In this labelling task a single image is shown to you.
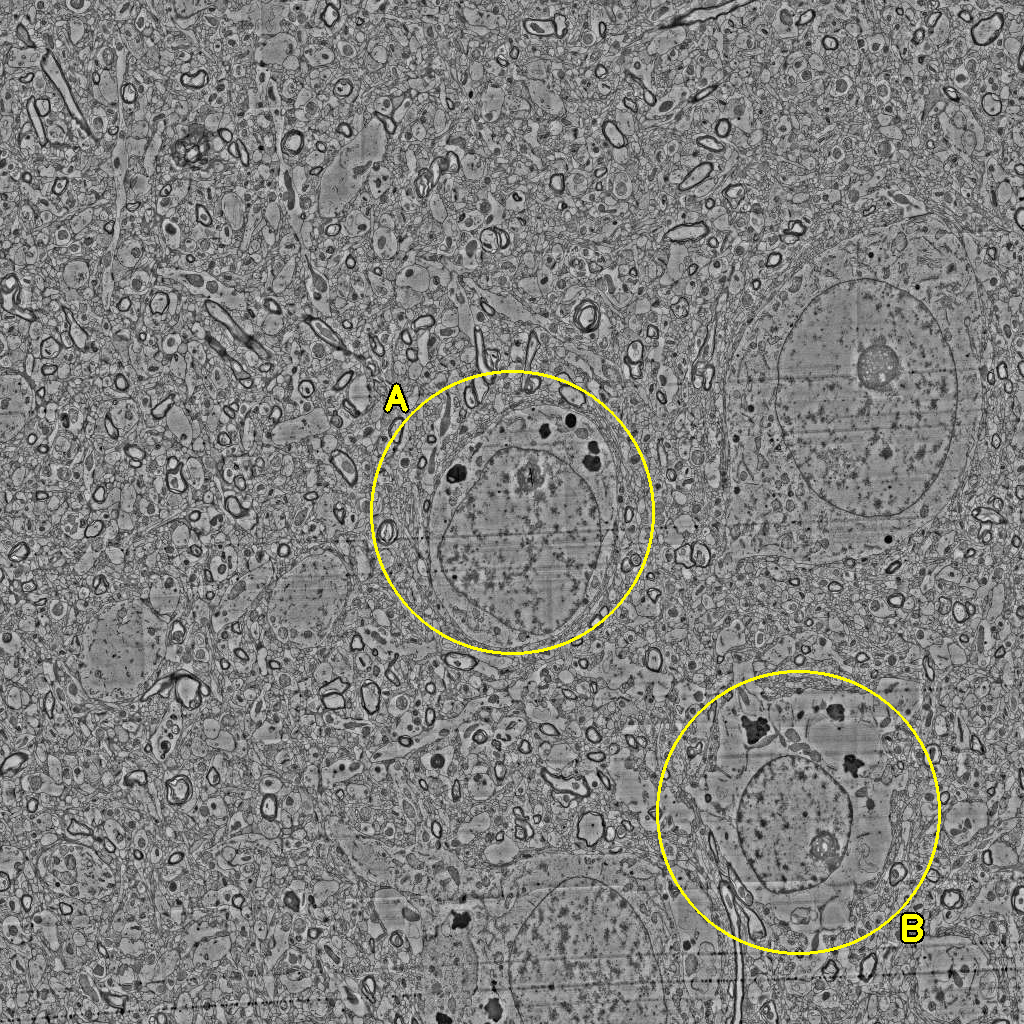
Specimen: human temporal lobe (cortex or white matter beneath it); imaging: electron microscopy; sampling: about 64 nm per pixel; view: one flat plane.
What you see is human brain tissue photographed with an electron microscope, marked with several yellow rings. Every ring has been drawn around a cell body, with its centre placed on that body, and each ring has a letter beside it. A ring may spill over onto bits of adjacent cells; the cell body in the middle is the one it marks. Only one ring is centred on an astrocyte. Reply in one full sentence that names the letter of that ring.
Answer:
The ring centred on the cell asked for is the one marked B.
